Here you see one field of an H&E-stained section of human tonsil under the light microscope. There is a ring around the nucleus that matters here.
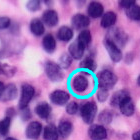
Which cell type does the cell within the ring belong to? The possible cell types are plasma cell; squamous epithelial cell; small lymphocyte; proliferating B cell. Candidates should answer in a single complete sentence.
The identity of the cell within the ring is that of a small lymphocyte.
